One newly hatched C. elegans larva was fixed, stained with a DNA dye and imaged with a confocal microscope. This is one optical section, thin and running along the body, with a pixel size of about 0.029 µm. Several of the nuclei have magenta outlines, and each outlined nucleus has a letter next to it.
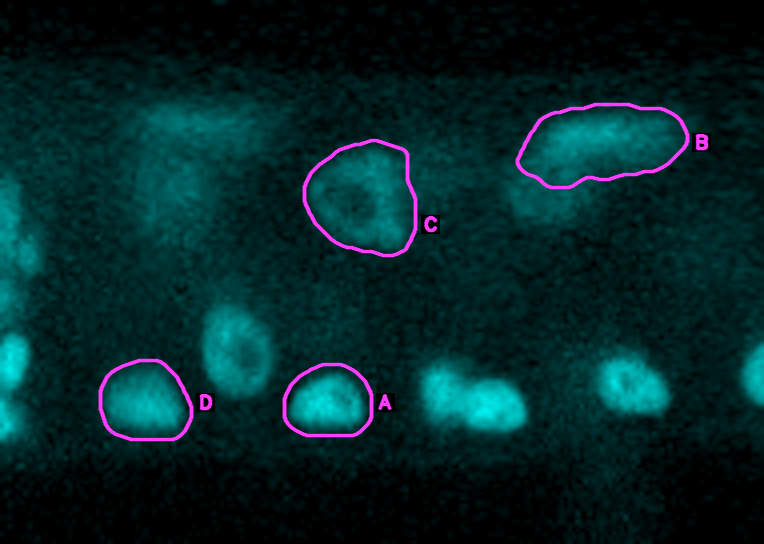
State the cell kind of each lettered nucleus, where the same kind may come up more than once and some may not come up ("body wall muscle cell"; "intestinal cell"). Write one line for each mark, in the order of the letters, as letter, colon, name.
A: body wall muscle cell
B: body wall muscle cell
C: intestinal cell
D: body wall muscle cell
